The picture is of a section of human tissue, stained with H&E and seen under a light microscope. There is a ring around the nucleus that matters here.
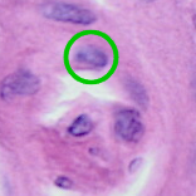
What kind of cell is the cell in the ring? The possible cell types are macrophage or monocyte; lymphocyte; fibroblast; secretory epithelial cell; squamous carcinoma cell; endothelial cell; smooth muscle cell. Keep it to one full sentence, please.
In the tissue at hand, the cell in the ring is a squamous carcinoma cell.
